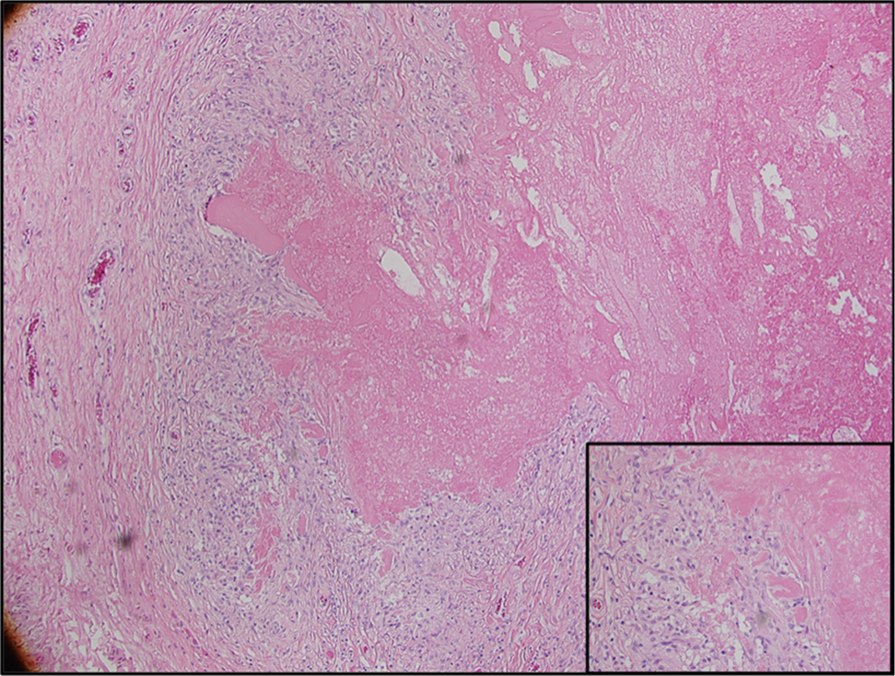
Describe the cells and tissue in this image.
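This is a necrobiotic granuloma seen at low power. The upper right is filled by a broad zone of bright pink, smudgy, nearly nucleus-free material with scattered empty clefts: this is the central fibrinoid necrosis. Further out, on the left, lies paler fibrous tissue with wavy collagen and small blood vessels containing red cells. The inset, at higher power, shows the interface itself, where the histiocytes with their pale cytoplasm border directly on the pink necrotic material.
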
